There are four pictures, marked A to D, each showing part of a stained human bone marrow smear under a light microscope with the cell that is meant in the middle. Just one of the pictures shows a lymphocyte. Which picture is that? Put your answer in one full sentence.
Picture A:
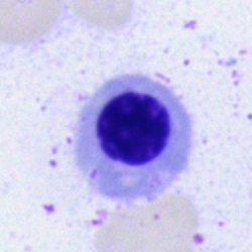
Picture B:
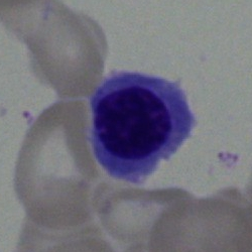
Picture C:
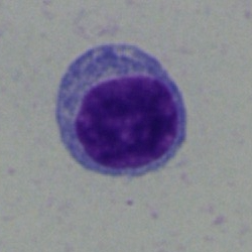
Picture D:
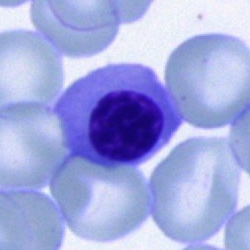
Picture C is the one that shows the lymphocyte.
